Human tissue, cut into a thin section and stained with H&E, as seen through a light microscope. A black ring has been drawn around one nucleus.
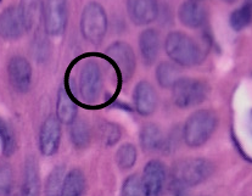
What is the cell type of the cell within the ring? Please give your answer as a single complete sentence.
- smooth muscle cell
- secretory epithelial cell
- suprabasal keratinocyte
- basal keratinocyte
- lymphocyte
Right, so the cell within the ring is a basal keratinocyte, to answer that.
